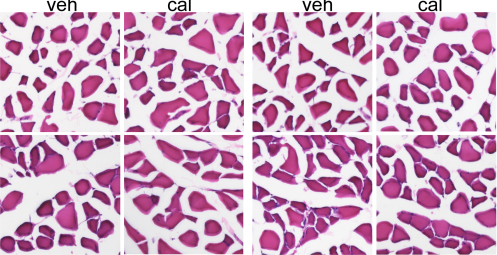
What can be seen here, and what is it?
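This is skeletal muscle cut in cross section, showing myofibres as polygonal to rounded profiles that stain evenly pink-magenta. The fibres vary in size and sit in groups, with small dark purple nuclei at their edges rather than in their centres. Wide white spaces separate many fibres and groups of fibres, giving the tissue a loosened appearance.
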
